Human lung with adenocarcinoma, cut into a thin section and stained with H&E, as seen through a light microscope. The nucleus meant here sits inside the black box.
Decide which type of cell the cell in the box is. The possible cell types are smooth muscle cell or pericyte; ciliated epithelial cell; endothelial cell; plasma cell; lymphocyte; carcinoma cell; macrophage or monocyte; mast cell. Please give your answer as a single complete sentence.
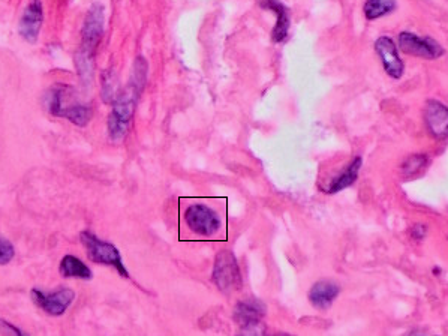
In the tissue at hand, the cell in the box is a mast cell.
